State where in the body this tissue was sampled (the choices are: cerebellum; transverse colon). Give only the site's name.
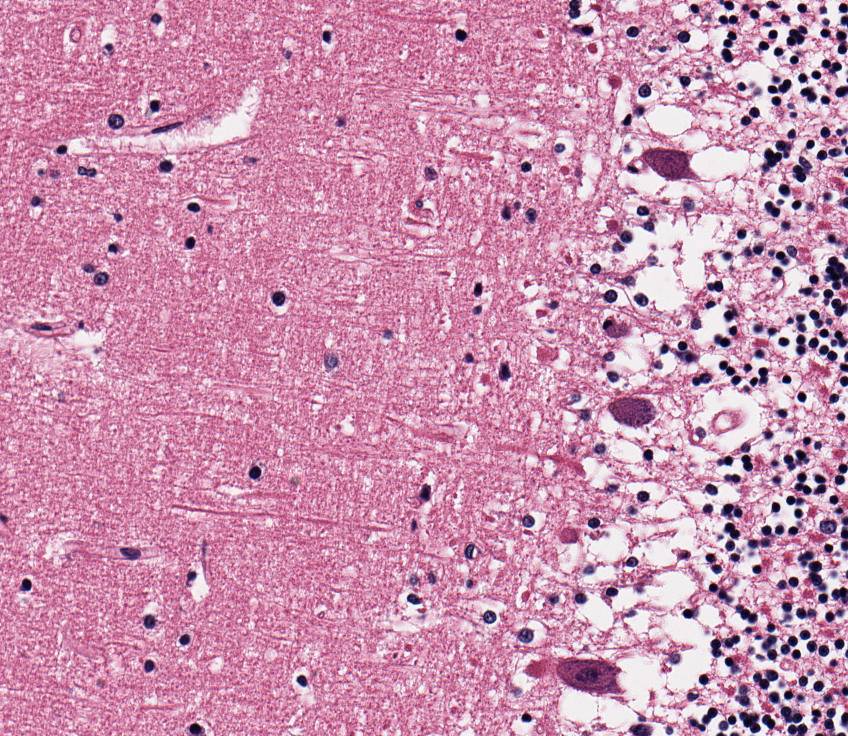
cerebellum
